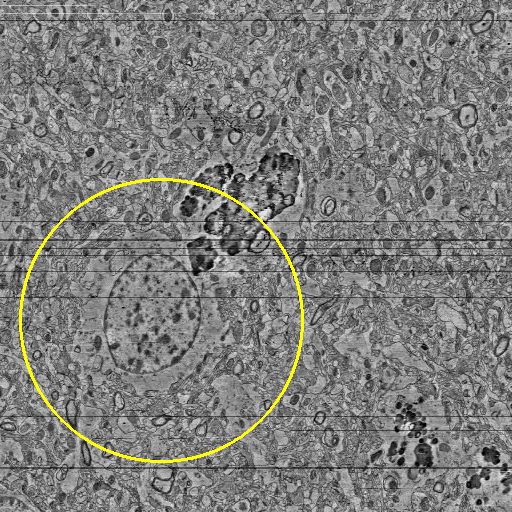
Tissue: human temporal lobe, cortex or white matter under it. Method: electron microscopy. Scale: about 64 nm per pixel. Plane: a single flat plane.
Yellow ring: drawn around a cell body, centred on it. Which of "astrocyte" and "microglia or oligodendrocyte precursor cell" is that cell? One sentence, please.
That cell body is from an astrocyte.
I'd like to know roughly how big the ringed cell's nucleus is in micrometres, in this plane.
In this plane, about 8 micrometres in length and 6 in width.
